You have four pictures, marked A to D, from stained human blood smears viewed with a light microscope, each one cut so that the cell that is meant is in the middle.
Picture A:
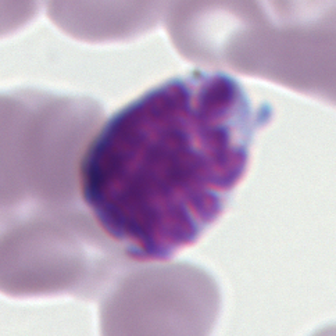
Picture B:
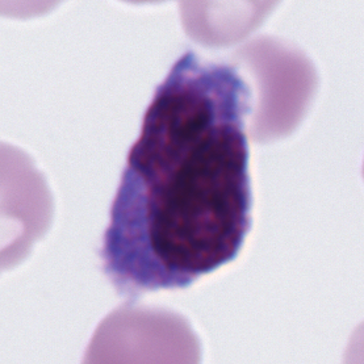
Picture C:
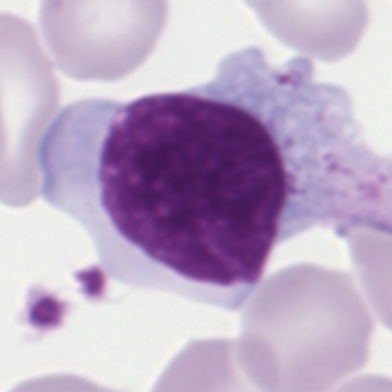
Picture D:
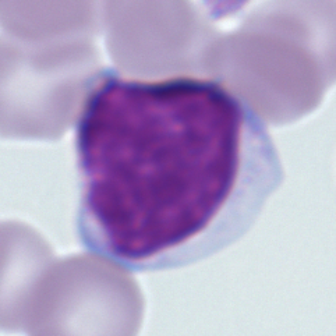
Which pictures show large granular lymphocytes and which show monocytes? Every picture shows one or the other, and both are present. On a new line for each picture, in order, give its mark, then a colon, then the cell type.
A: large granular lymphocyte
B: monocyte
C: large granular lymphocyte
D: large granular lymphocyte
